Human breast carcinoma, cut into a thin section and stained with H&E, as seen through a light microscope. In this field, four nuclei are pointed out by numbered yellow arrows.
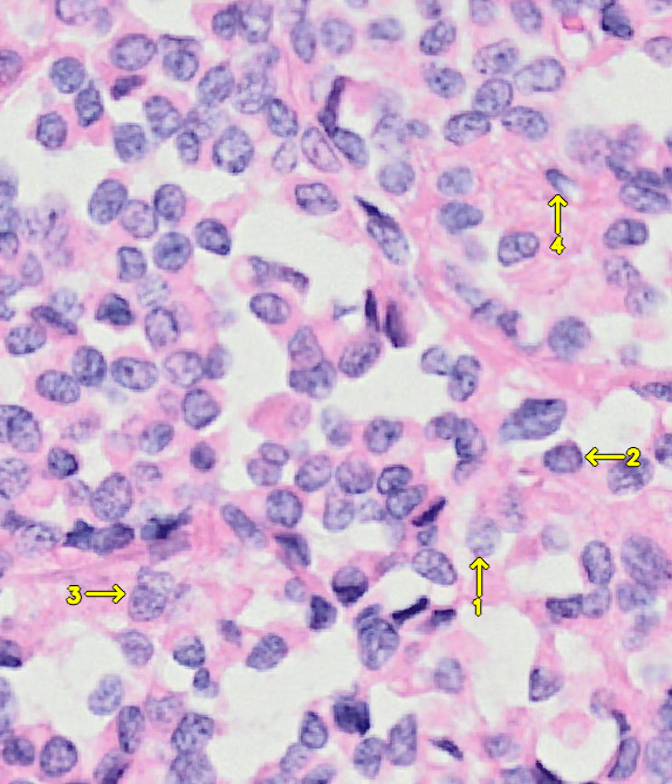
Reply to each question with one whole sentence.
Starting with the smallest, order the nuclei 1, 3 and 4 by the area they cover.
The order from the smallest nucleus to the largest is 4, 1, 3.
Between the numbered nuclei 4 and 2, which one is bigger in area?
Nucleus 2 is the larger one, covering about 2 times the area of nucleus 4.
